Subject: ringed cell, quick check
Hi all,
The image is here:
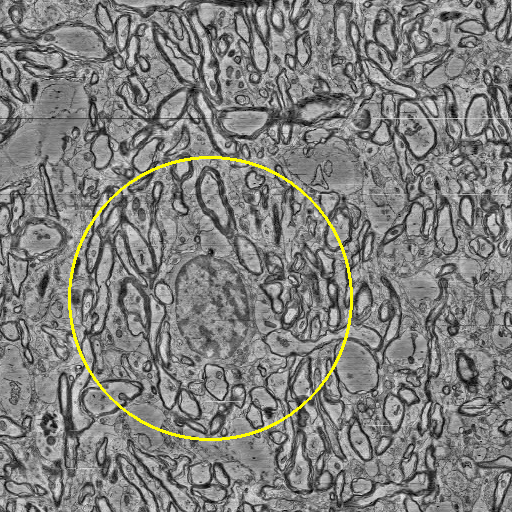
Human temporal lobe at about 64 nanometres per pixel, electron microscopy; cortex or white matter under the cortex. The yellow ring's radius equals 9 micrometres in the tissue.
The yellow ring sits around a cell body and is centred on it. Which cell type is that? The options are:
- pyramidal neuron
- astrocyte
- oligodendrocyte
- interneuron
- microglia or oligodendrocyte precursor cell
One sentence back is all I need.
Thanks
That ringed cell is an oligodendrocyte.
